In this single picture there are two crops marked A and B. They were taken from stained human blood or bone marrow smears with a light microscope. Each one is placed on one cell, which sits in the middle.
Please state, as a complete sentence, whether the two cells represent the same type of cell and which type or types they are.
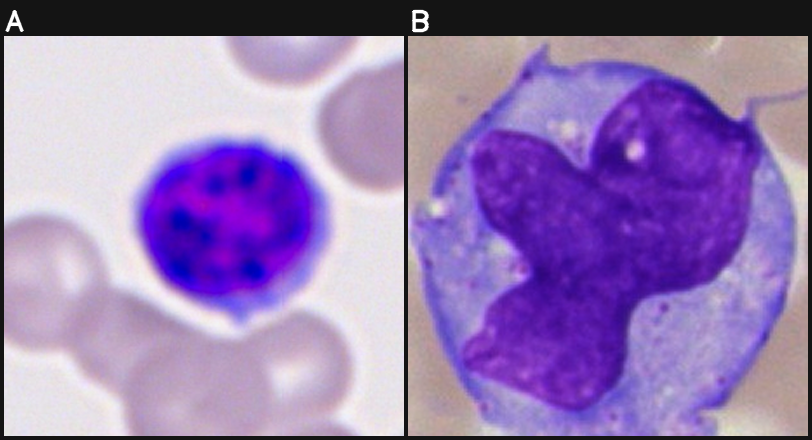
No, a lymphocyte is what occupies crop A, and a monocyte is what occupies crop B.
